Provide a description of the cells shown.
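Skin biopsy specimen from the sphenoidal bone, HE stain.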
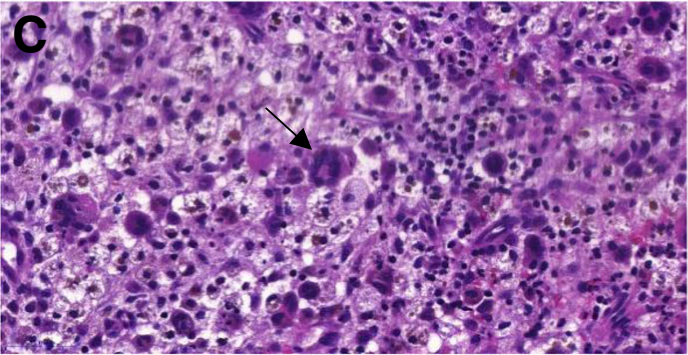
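This is a dense infiltrate of macrophages, with mononuclear cells and large multinucleate giant cells scattered among them. Many of the mononuclear cells have abundant, dense purple cytoplasm, while others are paler and contain coarse brown pigment granules. The giant cells carry several dark nuclei in a broad, homogeneous cytoplasm, and small dark round cells lie crowded between them.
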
